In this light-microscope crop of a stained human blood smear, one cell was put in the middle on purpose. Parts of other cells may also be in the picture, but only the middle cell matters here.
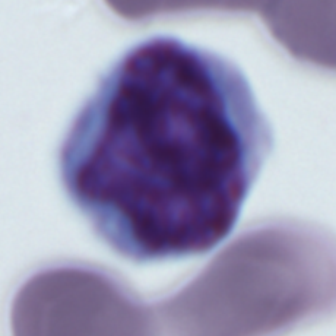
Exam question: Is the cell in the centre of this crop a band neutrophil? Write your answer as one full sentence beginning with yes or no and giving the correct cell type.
No, the centrally located cell is a monocyte rather than a band neutrophil.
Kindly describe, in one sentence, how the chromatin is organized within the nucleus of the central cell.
The chromatin pattern here is coarse and clumped.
